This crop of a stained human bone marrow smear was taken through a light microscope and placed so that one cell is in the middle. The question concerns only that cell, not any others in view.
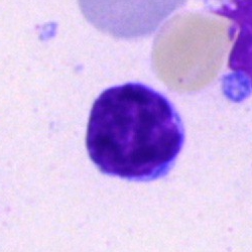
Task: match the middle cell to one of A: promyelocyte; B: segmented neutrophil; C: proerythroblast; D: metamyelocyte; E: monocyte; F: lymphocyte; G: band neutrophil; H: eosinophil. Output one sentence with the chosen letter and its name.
Option F holds, for the cell in the middle is a lymphocyte.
